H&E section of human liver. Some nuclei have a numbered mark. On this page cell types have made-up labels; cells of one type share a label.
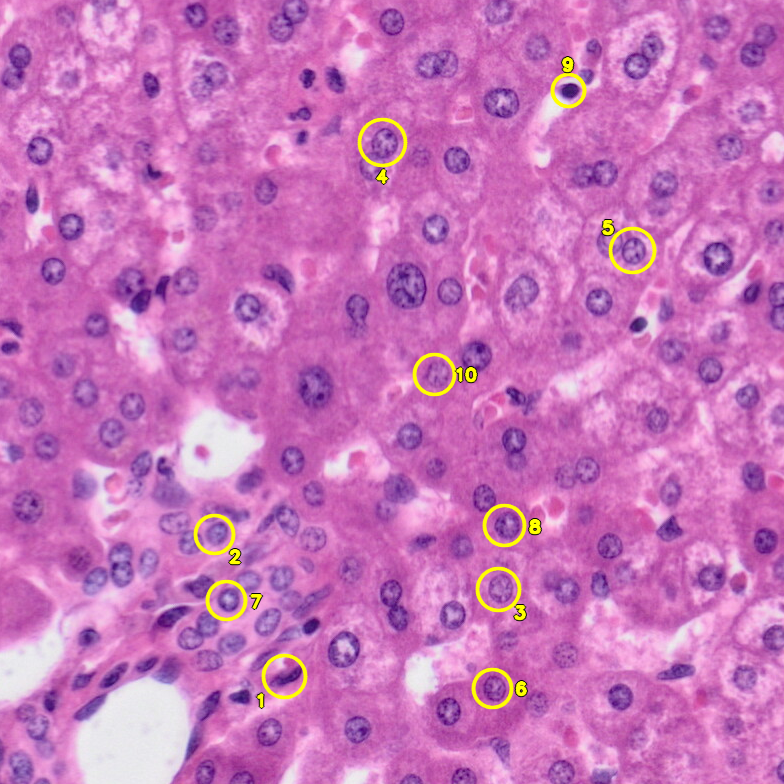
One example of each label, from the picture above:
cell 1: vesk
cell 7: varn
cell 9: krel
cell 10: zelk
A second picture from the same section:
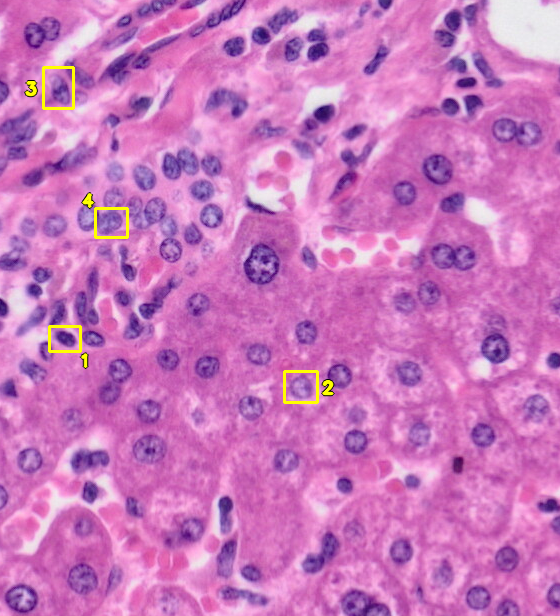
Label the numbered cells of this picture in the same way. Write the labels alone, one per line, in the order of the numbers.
krel
zelk
vesk
varn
